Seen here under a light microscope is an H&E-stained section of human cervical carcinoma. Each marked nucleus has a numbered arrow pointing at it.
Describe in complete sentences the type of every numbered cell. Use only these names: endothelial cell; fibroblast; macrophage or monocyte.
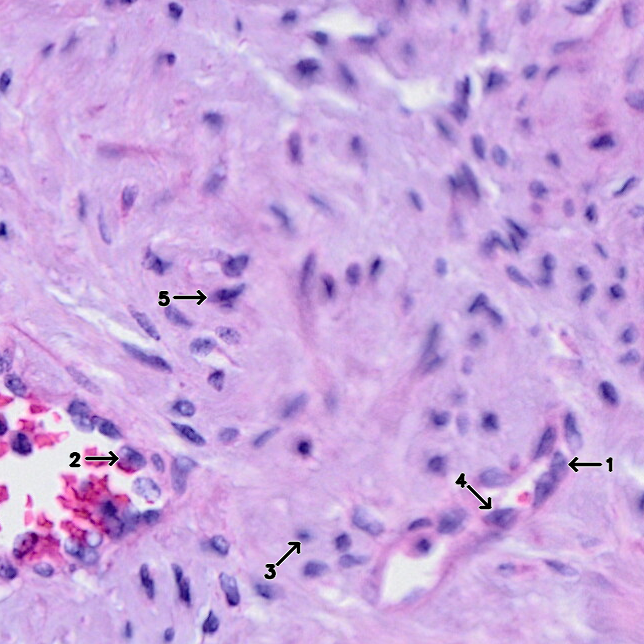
Cell 1 is an endothelial cell, cell 2 is an endothelial cell, cell 3 is a fibroblast, cell 4 is an endothelial cell and cell 5 is a fibroblast.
